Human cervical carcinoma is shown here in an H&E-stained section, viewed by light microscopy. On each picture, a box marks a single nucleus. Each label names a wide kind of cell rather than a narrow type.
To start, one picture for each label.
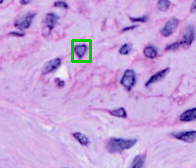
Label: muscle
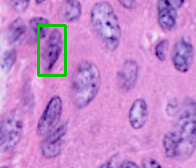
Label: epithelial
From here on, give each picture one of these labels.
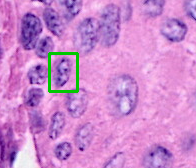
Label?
epithelial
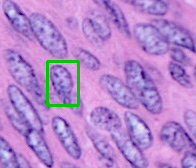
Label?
epithelial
